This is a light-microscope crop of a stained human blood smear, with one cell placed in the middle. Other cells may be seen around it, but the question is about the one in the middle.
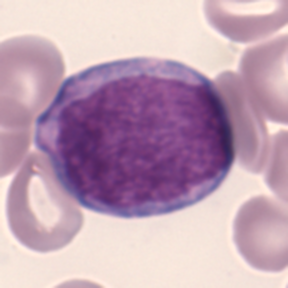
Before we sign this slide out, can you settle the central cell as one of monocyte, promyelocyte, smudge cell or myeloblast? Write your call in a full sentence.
The cell sitting right in the middle is a promyelocyte.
